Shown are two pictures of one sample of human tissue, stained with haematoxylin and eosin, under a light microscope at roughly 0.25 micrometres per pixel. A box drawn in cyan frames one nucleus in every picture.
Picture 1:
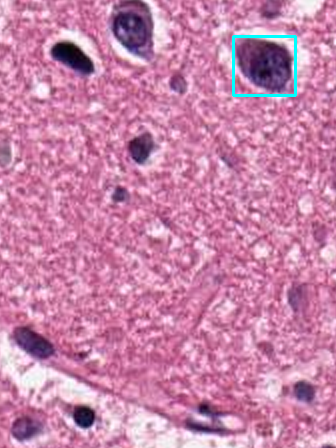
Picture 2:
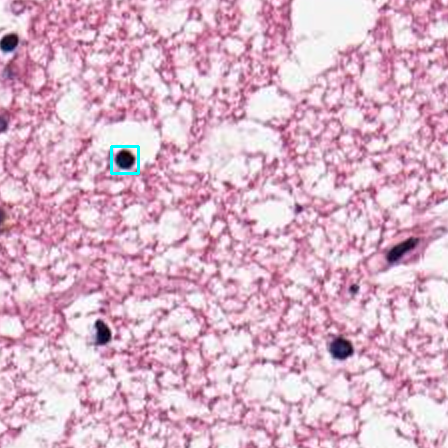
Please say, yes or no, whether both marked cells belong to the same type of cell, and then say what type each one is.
No, the first is a neuron and the second an oligodendrocyte.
